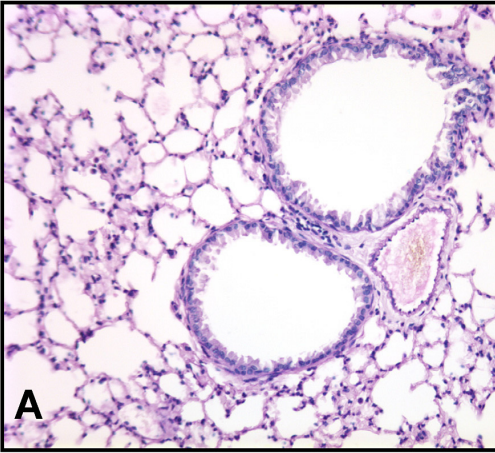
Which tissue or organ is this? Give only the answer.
Airway.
